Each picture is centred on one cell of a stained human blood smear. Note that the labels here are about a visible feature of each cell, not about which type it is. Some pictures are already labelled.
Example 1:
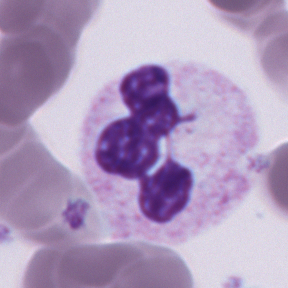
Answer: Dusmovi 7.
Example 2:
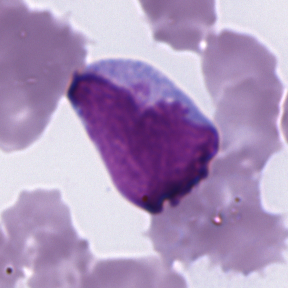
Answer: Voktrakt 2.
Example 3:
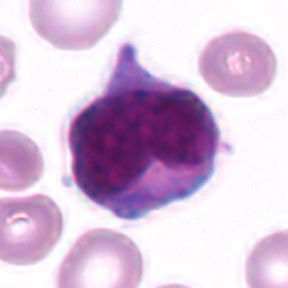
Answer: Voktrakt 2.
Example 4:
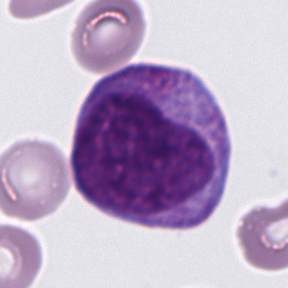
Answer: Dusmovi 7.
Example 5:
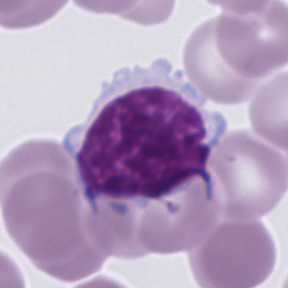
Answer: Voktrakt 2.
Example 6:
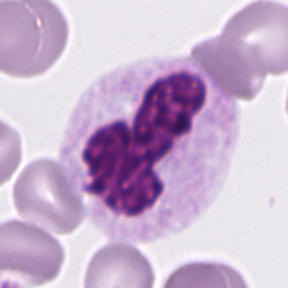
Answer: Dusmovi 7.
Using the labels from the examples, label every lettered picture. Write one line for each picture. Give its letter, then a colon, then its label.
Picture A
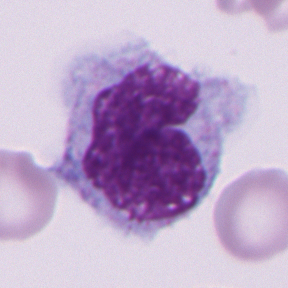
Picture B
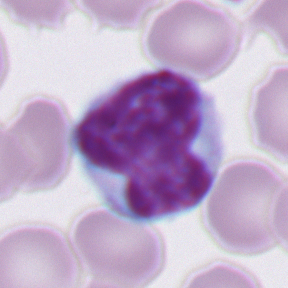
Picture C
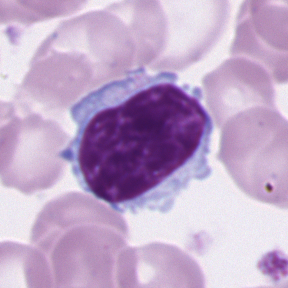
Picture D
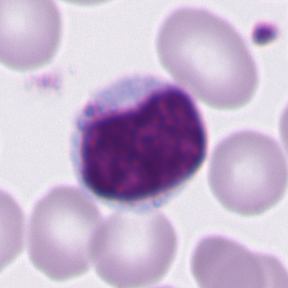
A: Voktrakt 2.
B: Dusmovi 7.
C: Voktrakt 2.
D: Dusmovi 7.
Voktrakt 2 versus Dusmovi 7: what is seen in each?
In Voktrakt 2: ragged outline or projections. In Dusmovi 7: smooth outline.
